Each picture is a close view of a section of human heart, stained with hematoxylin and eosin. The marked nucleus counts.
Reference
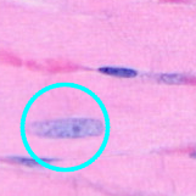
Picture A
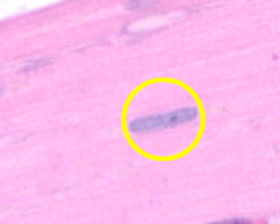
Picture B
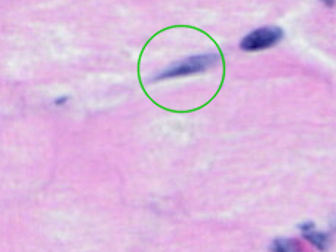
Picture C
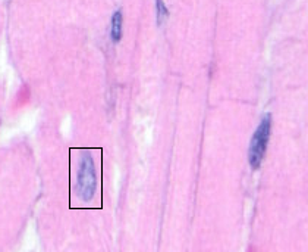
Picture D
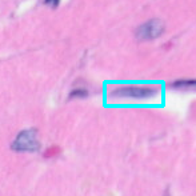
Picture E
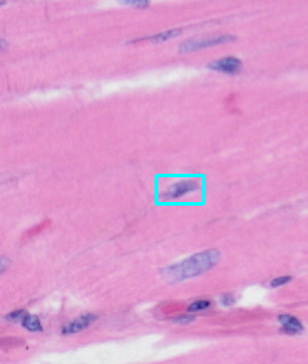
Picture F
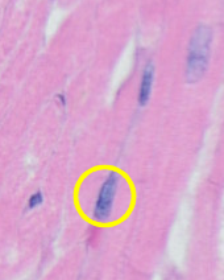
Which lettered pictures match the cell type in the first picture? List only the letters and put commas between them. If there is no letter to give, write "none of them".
A, C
